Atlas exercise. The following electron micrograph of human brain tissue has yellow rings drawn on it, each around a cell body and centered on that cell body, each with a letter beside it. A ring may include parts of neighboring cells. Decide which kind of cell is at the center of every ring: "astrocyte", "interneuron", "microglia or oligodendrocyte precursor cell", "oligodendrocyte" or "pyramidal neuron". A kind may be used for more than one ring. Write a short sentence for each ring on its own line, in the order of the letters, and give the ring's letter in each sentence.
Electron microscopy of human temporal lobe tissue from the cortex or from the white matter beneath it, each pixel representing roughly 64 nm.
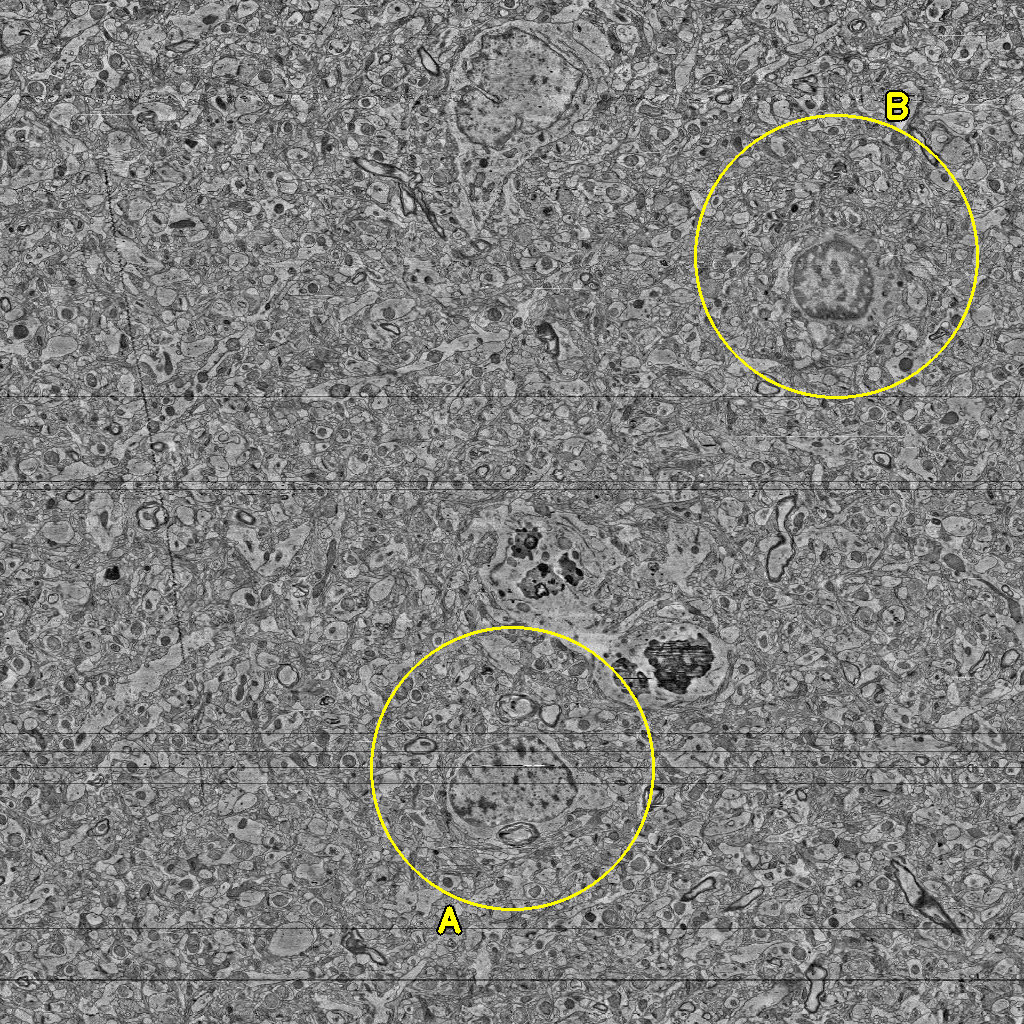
Ring A frames a microglial cell or oligodendrocyte precursor cell at its center.
Ring B frames an oligodendrocyte at its center.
